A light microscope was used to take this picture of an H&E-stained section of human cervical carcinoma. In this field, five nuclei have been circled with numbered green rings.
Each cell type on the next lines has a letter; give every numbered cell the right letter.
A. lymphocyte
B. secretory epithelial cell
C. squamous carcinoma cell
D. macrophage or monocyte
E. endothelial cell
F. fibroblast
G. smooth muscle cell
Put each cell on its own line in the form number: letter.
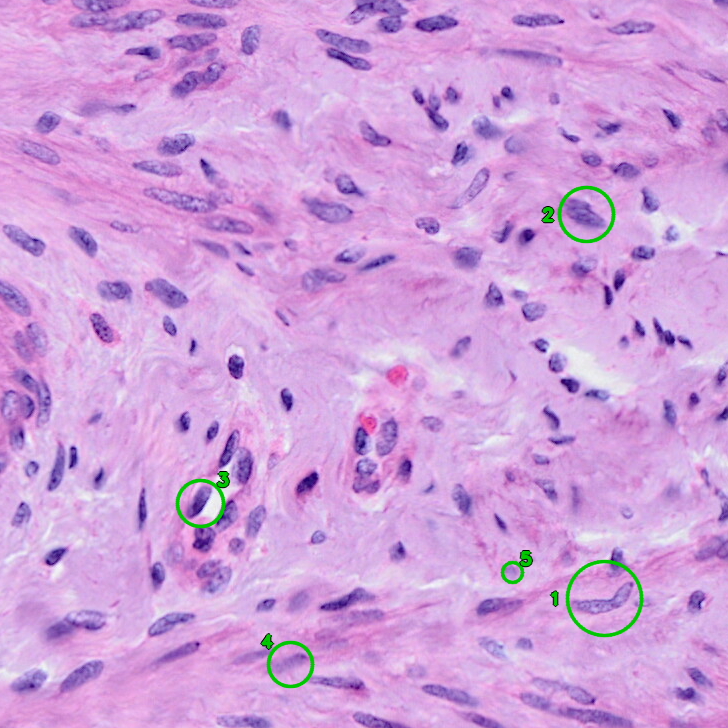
1: G
2: F
3: E
4: G
5: G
